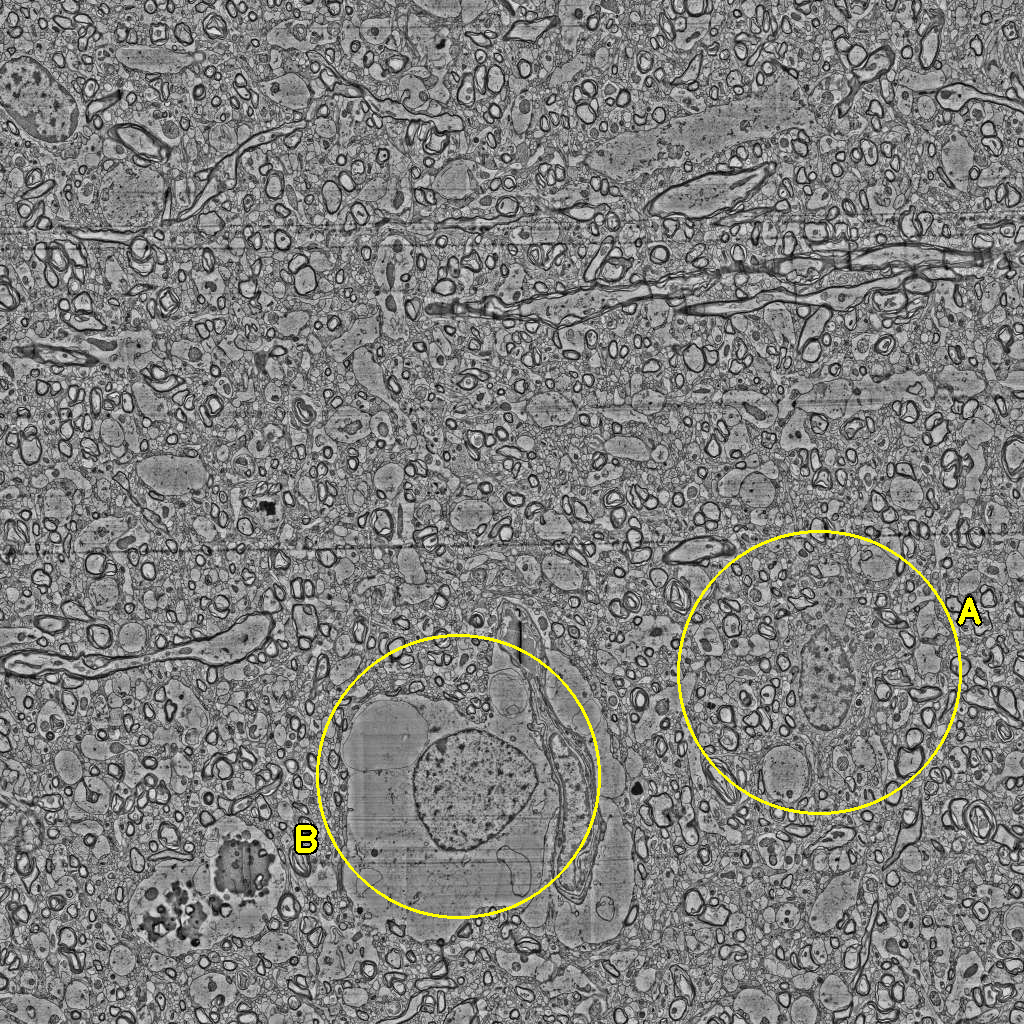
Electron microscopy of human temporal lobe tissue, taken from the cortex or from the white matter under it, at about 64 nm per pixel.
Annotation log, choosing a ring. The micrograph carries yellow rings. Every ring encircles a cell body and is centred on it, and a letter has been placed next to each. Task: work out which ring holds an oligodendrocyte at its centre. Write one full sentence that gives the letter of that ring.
In the micrograph, the ring centred on the cell asked for carries the letter A.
